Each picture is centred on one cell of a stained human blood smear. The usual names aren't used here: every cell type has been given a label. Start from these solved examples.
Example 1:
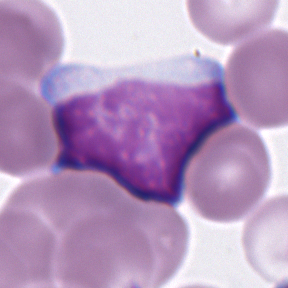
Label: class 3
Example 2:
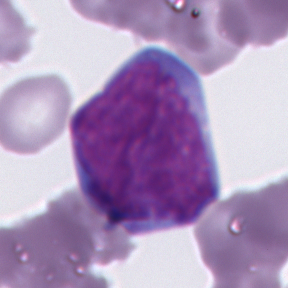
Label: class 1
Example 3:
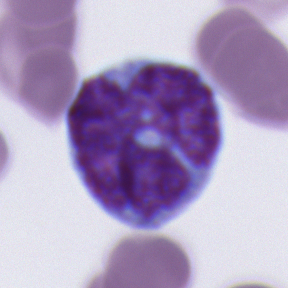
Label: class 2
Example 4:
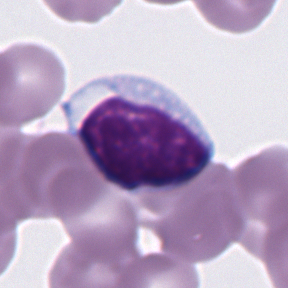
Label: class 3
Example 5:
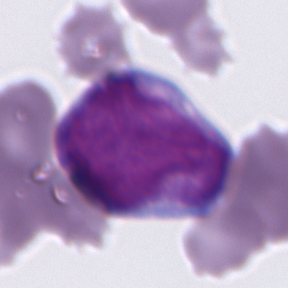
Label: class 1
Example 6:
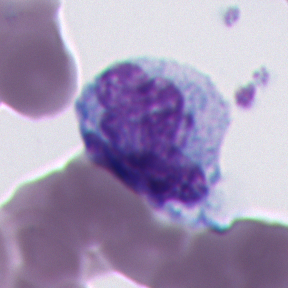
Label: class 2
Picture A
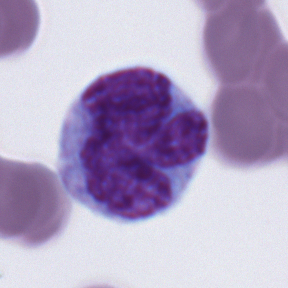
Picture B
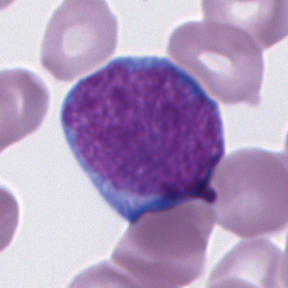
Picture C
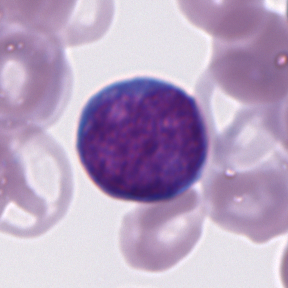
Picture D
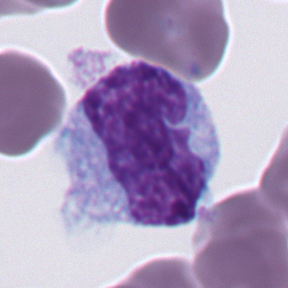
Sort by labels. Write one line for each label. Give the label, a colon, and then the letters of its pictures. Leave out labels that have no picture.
class 1: B, C
class 2: A, D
